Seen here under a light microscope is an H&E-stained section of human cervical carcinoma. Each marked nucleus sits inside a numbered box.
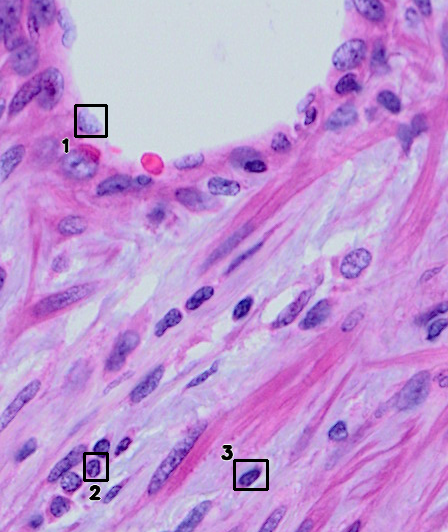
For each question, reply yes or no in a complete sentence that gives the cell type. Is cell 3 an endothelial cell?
No, the cell under number 3 is a lymphocyte instead of an endothelial cell.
